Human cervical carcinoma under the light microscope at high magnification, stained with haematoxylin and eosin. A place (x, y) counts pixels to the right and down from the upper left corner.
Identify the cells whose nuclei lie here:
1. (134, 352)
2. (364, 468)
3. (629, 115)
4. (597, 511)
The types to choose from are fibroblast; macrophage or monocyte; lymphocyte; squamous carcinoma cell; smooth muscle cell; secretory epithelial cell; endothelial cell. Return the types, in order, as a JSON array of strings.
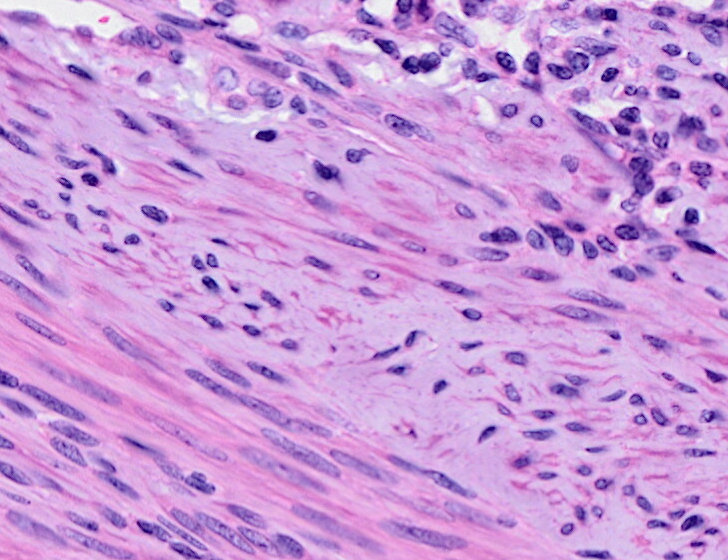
["smooth muscle cell", "smooth muscle cell", "lymphocyte", "smooth muscle cell"]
